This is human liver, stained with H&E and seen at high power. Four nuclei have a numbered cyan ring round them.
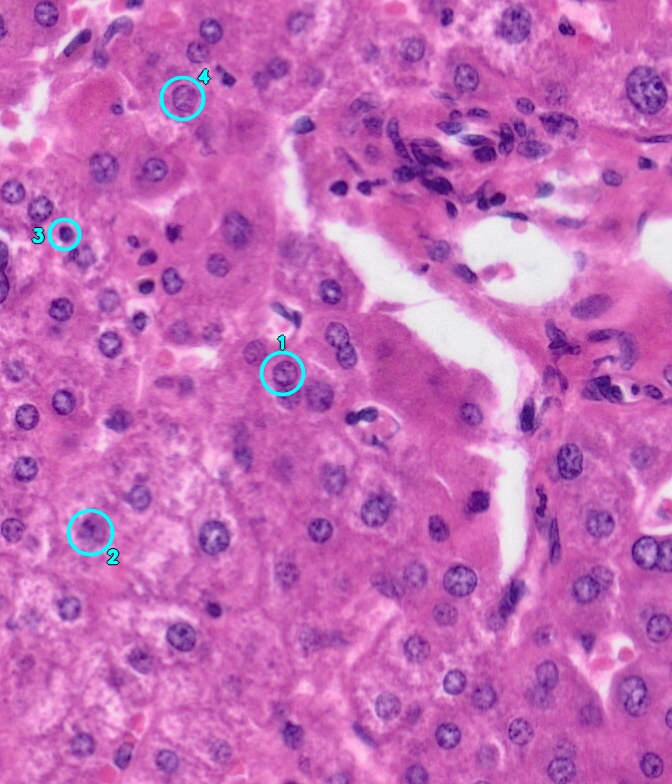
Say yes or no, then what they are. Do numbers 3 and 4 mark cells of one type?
No, cell 3 is a lymphocyte and cell 4 is a hepatocyte.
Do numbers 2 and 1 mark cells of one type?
Yes, both are hepatocytes.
